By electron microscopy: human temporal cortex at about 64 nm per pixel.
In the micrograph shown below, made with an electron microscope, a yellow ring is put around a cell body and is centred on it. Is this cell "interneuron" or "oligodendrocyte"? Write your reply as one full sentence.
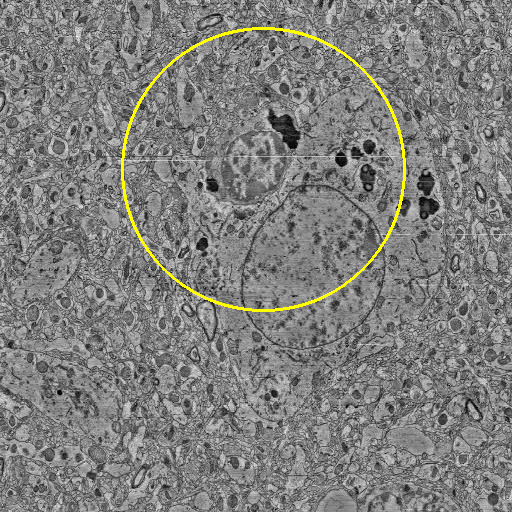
In the micrograph, an oligodendrocyte is the cell at the centre of the yellow ring.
